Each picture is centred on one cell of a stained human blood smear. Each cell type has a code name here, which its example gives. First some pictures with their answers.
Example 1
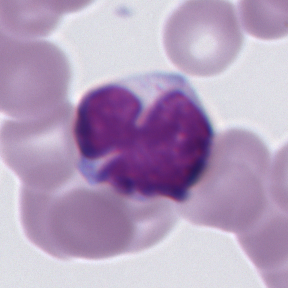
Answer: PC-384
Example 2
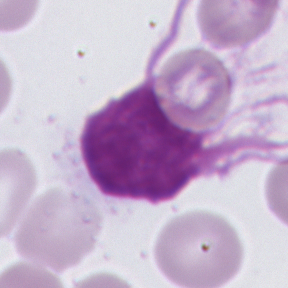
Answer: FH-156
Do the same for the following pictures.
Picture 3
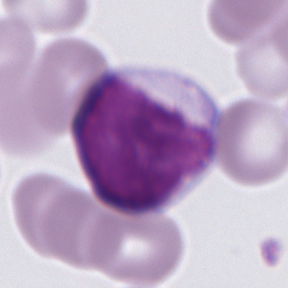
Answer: PC-384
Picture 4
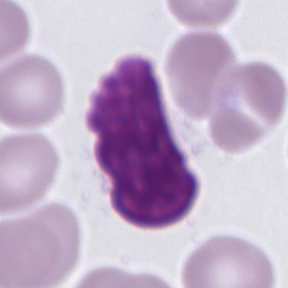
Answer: FH-156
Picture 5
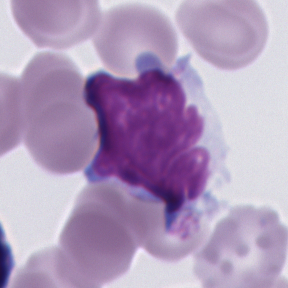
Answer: PC-384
